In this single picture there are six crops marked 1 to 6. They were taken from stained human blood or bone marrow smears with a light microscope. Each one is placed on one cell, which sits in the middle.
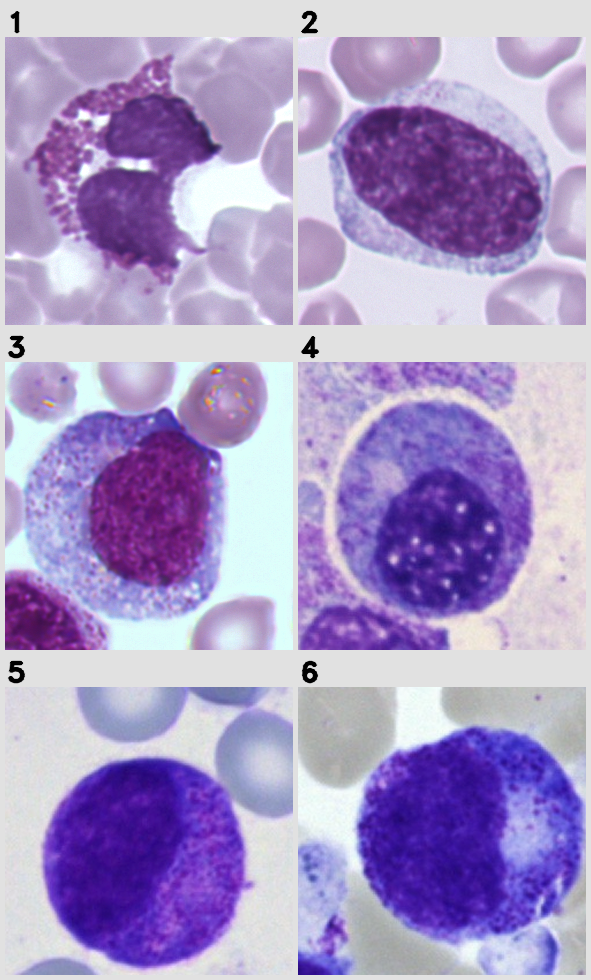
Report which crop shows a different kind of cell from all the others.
1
